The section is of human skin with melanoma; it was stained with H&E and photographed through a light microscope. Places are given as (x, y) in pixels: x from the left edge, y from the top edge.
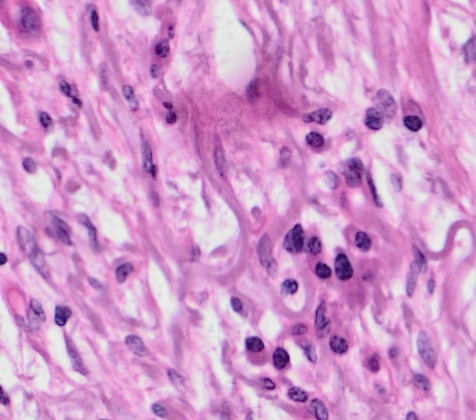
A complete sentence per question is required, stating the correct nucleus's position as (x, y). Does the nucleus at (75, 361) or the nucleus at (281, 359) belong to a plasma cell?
Assigned to a plasma cell is the nucleus located at (281, 359).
